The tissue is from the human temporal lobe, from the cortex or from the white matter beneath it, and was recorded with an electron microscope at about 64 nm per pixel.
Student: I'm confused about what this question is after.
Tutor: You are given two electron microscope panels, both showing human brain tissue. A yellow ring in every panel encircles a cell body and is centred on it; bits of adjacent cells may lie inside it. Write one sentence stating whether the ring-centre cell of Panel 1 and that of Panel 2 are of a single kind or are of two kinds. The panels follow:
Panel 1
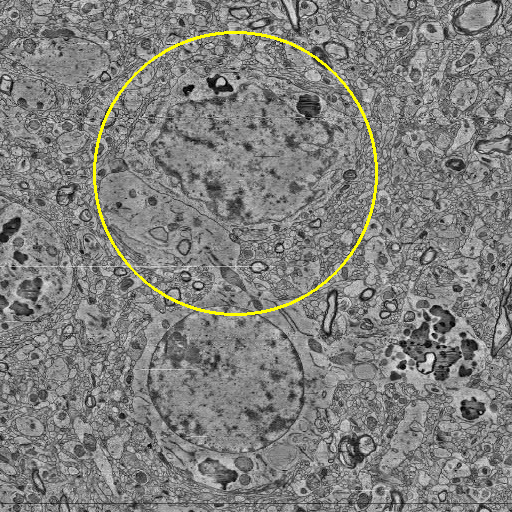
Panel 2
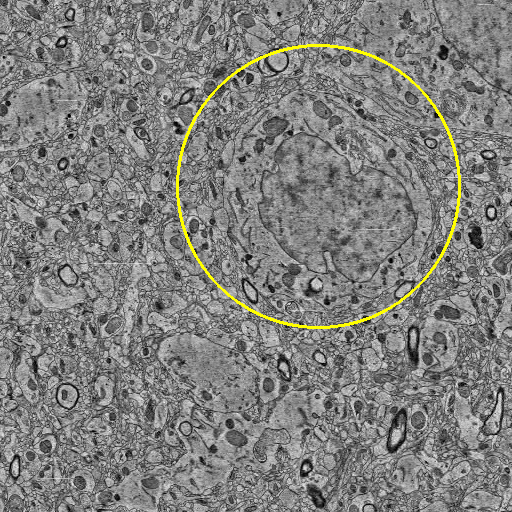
Here, the Panel 1 ring-centre cell and the Panel 2 ring-centre cell are of a single kind.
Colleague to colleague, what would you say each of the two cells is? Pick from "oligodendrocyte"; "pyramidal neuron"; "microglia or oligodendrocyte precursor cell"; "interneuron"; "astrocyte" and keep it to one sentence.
Each one of the two ringed cells is an interneuron.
